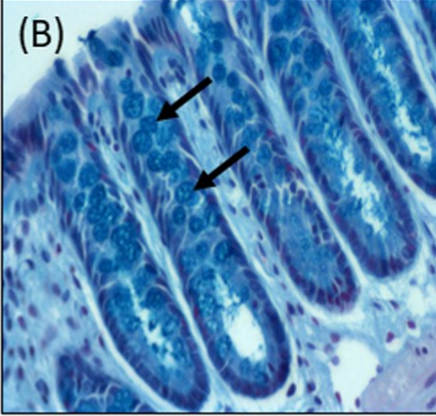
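Colonic crypts run obliquely across the field as parallel tubular glands, their upper ends meeting the surface lining at the top left. The crypt lumens are narrow slits, widening near some crypt bases. Between the glands lie thin strips of loose connective tissue containing scattered small nuclei and a few clear spaces. The overall stain is blue, with only faint purplish tones along the crypt margins.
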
